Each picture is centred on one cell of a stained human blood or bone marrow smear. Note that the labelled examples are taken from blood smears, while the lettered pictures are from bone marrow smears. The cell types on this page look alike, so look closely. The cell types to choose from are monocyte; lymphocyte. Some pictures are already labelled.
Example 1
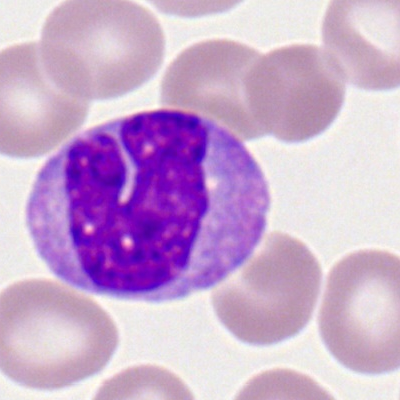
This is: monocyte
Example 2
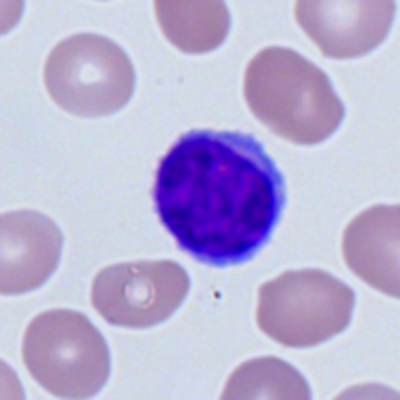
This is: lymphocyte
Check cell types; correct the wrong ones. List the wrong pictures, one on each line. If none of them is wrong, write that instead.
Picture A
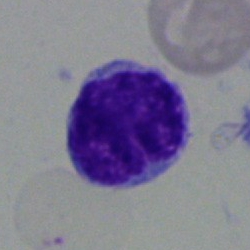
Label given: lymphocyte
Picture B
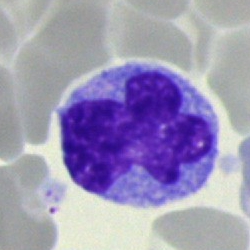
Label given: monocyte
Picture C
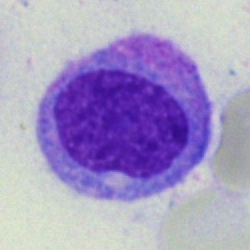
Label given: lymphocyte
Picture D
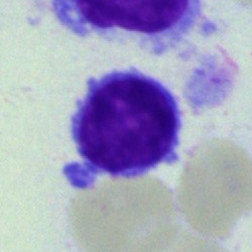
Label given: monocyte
C: change lymphocyte to monocyte
D: change monocyte to lymphocyte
